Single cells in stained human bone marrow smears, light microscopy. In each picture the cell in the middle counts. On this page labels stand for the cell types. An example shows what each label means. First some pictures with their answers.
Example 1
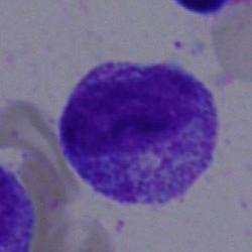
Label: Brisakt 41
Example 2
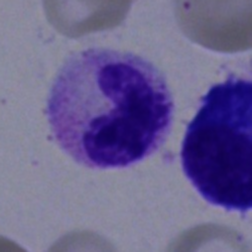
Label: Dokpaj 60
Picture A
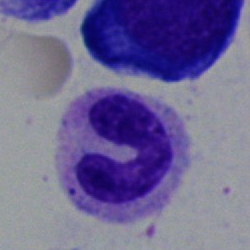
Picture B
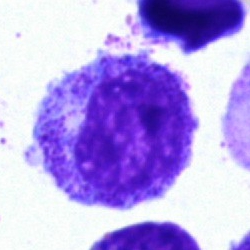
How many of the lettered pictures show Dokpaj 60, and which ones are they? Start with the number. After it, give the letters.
1: A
